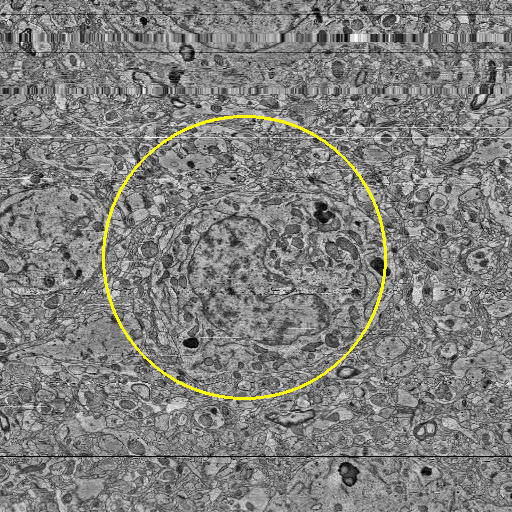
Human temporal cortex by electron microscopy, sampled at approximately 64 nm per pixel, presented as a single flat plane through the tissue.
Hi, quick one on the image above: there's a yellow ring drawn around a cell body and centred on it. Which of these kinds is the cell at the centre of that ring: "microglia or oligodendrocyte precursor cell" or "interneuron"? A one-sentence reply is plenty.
The cell at the centre of the ring is an interneuron.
